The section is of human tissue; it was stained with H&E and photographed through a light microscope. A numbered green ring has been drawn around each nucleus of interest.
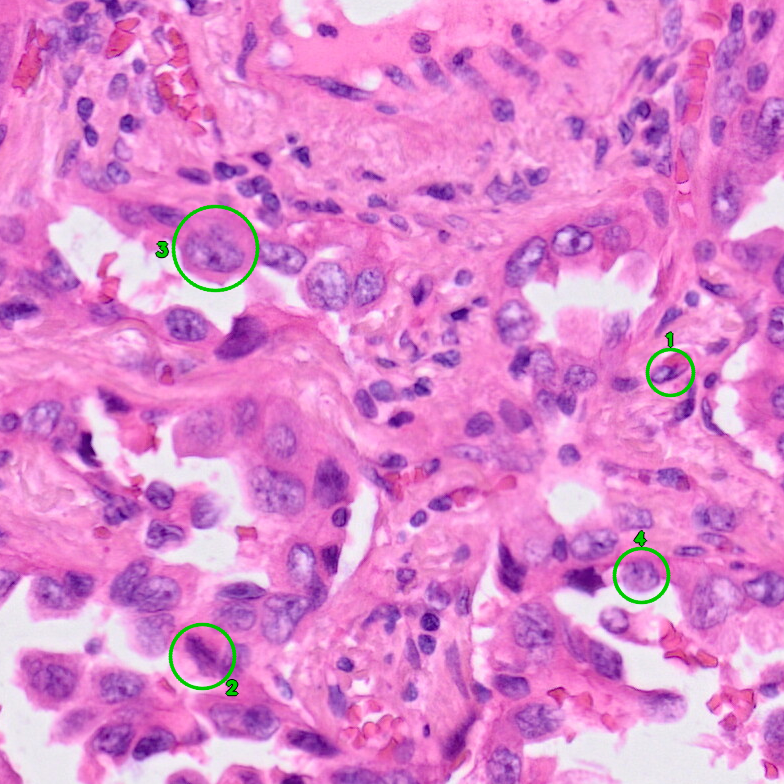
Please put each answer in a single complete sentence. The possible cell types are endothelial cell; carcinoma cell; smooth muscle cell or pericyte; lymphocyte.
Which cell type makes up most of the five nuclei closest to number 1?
Around number 1, most of the five nearest nuclei are those of lymphocytes.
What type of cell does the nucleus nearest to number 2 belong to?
The nearest nucleus to number 2 belongs to a carcinoma cell.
